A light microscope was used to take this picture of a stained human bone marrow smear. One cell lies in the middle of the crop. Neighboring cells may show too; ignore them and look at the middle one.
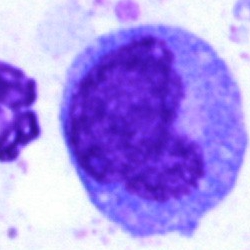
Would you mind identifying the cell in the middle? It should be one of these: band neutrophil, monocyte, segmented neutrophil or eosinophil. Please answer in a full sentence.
The centered cell in this crop is a monocyte.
